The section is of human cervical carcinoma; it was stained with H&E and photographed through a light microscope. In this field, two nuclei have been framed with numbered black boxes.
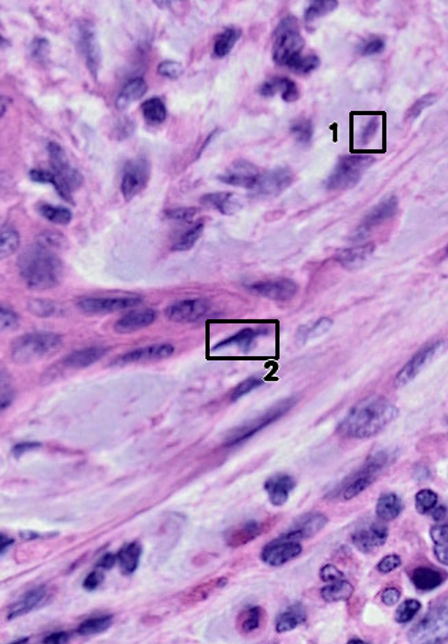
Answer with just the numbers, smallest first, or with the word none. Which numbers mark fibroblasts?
1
